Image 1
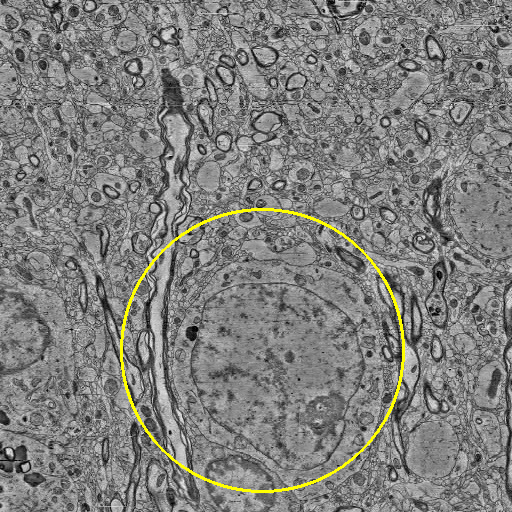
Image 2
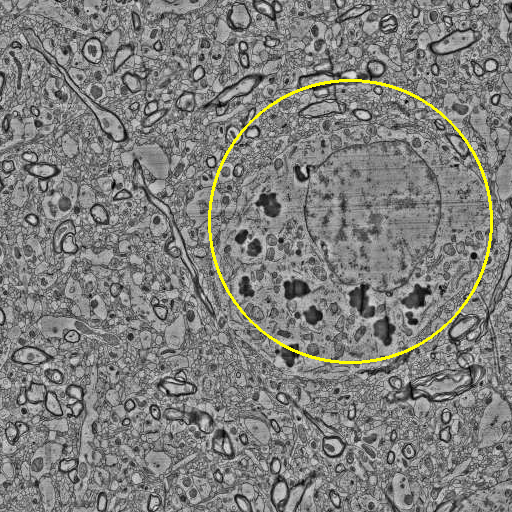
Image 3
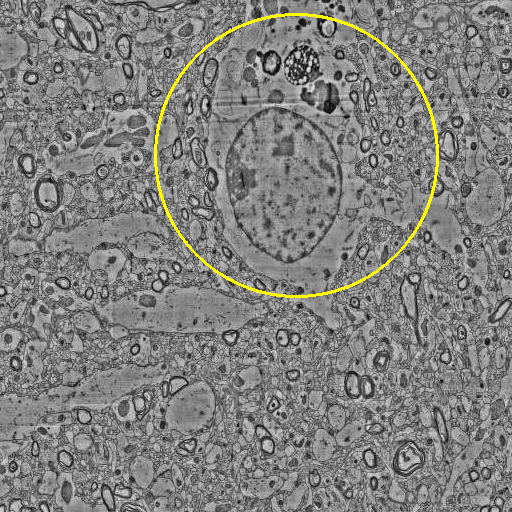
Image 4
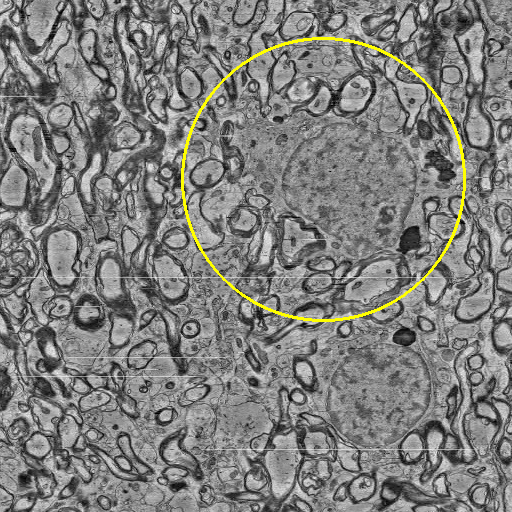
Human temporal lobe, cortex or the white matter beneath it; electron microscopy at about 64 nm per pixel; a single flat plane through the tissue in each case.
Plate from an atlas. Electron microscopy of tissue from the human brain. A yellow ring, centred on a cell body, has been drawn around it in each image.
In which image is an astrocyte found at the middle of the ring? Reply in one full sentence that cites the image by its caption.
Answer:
The requested cell is the one at the ring's centre in Image 3.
